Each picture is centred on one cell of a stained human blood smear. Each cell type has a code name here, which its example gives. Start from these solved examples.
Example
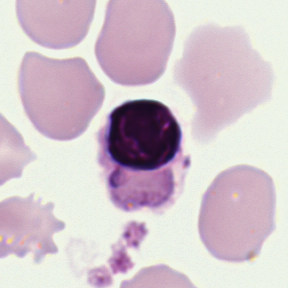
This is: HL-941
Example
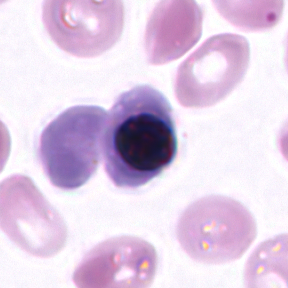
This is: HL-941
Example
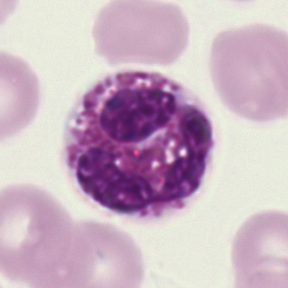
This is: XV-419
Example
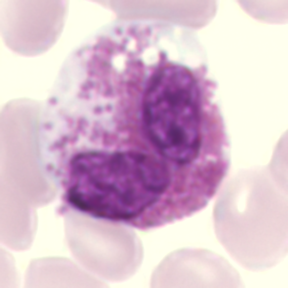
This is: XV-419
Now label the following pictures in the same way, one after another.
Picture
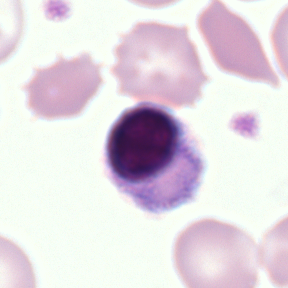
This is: HL-941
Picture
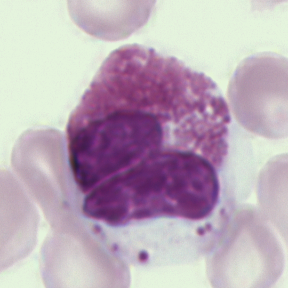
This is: XV-419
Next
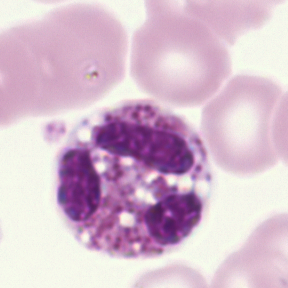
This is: XV-419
